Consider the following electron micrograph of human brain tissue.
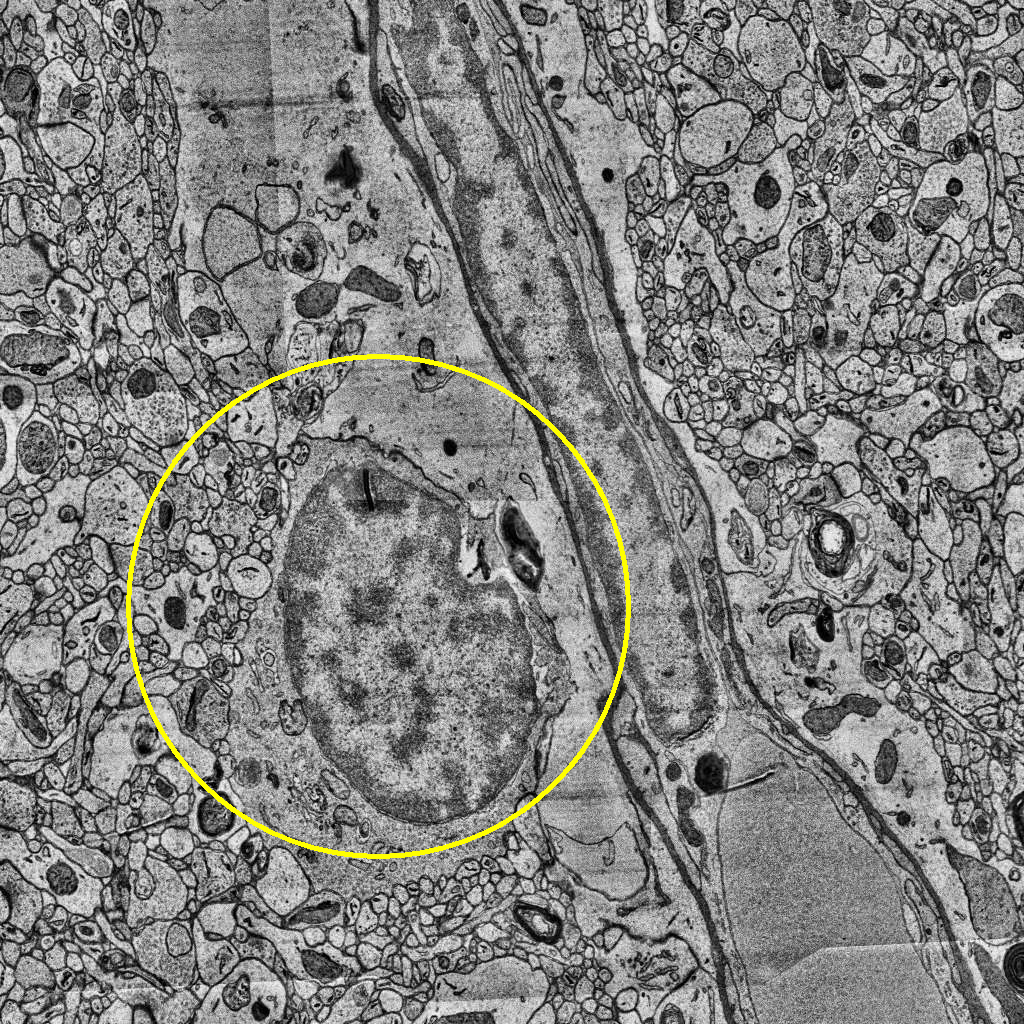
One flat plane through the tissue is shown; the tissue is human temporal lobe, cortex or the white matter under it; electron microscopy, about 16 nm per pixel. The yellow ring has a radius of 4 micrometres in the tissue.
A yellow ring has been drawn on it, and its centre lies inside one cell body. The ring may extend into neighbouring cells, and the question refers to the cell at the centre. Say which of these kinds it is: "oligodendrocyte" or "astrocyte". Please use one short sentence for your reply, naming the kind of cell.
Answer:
The centre of the ring falls on an oligodendrocyte.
